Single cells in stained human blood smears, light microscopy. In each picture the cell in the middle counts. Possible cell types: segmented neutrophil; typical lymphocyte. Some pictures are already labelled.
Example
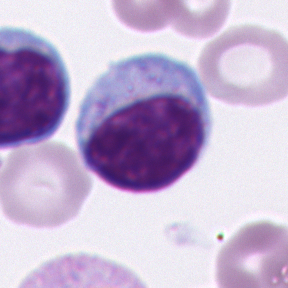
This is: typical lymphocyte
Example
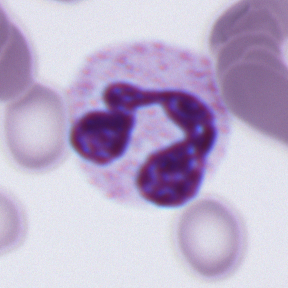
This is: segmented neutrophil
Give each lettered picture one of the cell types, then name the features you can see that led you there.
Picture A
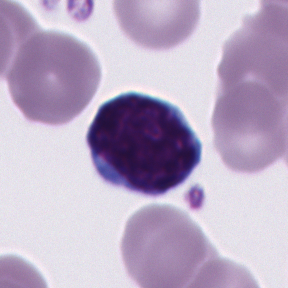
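typical lymphocyte. The nucleus fills almost the whole cell, leaving very little cytoplasm.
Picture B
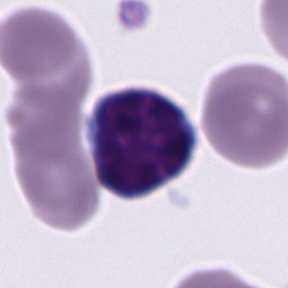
typical lymphocyte. Cytoplasm shows only as a very thin rim at the edge of the nucleus.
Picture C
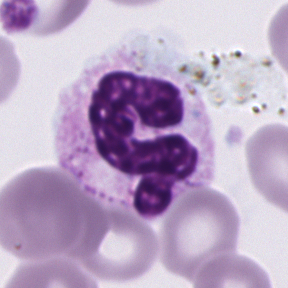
segmented neutrophil. The cytoplasm is abundant and pale pink.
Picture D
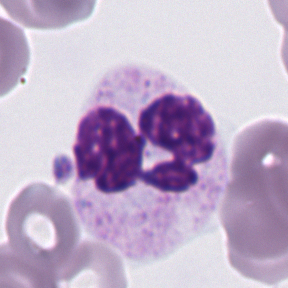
segmented neutrophil. The cytoplasm is plentiful and pale pinkish-lilac.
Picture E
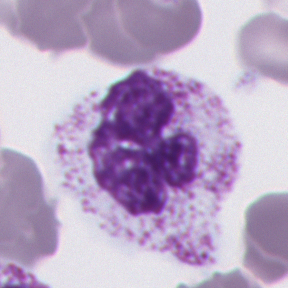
segmented neutrophil. The cytoplasm is plentiful and very pale between its granules.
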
